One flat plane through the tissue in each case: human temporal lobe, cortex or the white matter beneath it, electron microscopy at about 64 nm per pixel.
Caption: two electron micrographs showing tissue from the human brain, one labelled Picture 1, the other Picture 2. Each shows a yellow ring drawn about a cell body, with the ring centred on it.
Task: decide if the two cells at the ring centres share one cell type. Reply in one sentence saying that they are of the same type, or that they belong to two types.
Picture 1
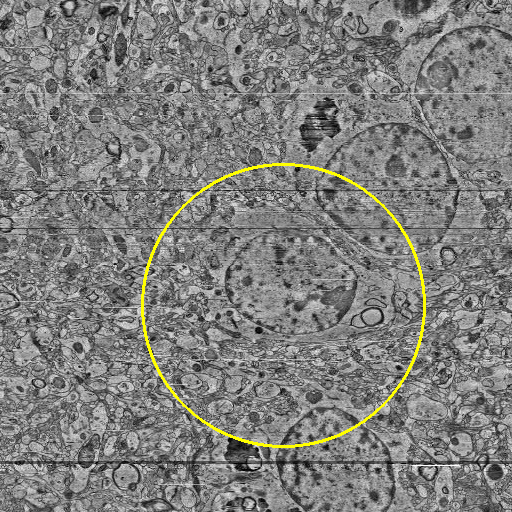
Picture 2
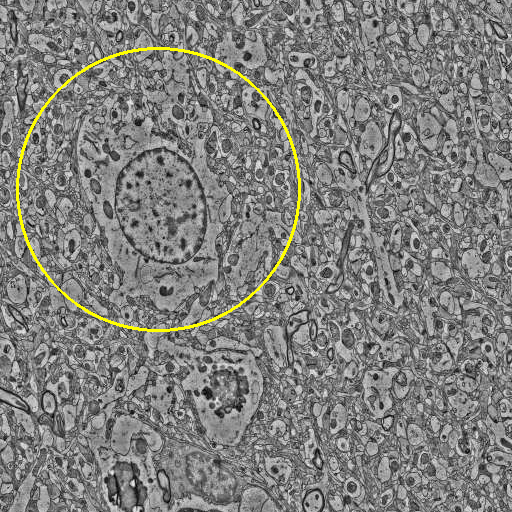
The cells at the ring centres in Picture 1 and Picture 2 are of the same type.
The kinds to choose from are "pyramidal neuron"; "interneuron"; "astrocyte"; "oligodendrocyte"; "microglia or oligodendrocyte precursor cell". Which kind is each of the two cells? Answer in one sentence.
Each one of the two ringed cells is an astrocyte.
